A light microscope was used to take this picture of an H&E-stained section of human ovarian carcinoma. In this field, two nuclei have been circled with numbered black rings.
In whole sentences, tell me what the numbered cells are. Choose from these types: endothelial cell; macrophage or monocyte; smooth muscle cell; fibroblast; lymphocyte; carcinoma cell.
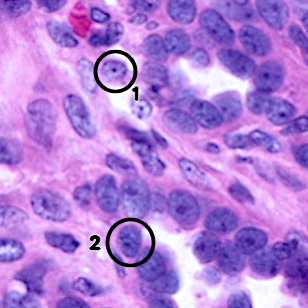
Cell 1 is a macrophage or monocyte and cell 2 is a carcinoma cell.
